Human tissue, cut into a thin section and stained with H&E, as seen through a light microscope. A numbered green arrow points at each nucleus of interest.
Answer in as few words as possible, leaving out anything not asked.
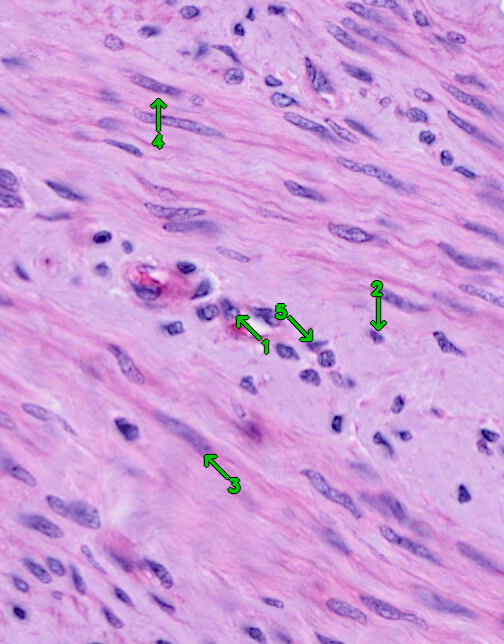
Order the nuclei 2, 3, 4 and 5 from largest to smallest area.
3, 4, 5, 2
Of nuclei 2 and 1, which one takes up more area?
1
